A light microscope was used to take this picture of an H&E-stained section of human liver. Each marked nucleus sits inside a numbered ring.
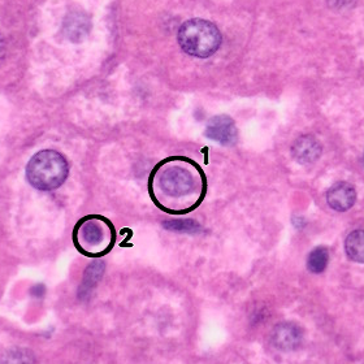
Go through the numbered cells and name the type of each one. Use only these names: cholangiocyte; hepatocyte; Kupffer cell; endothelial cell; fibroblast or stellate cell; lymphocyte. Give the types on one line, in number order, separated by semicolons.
hepatocyte; lymphocyte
